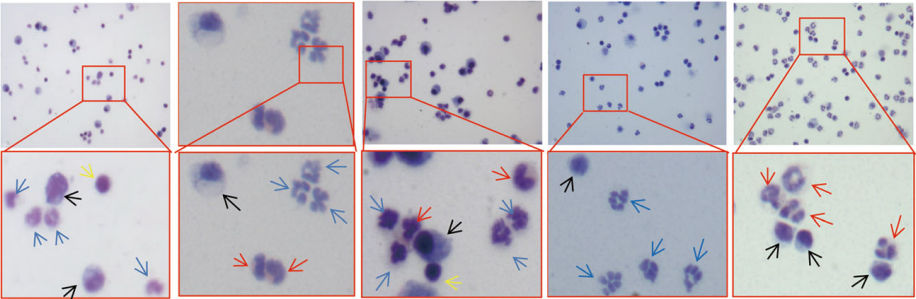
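Most insets are dominated by neutrophils with nuclei divided into several small lobes. Scattered among them are eosinophils with fewer-lobed nuclei and pinkish cytoplasm, larger macrophages with single unsegmented nuclei, and small round lymphocytes with dark nuclei. In one column, the cells with fewer-lobed nuclei and pinkish cytoplasm are the most frequent.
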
